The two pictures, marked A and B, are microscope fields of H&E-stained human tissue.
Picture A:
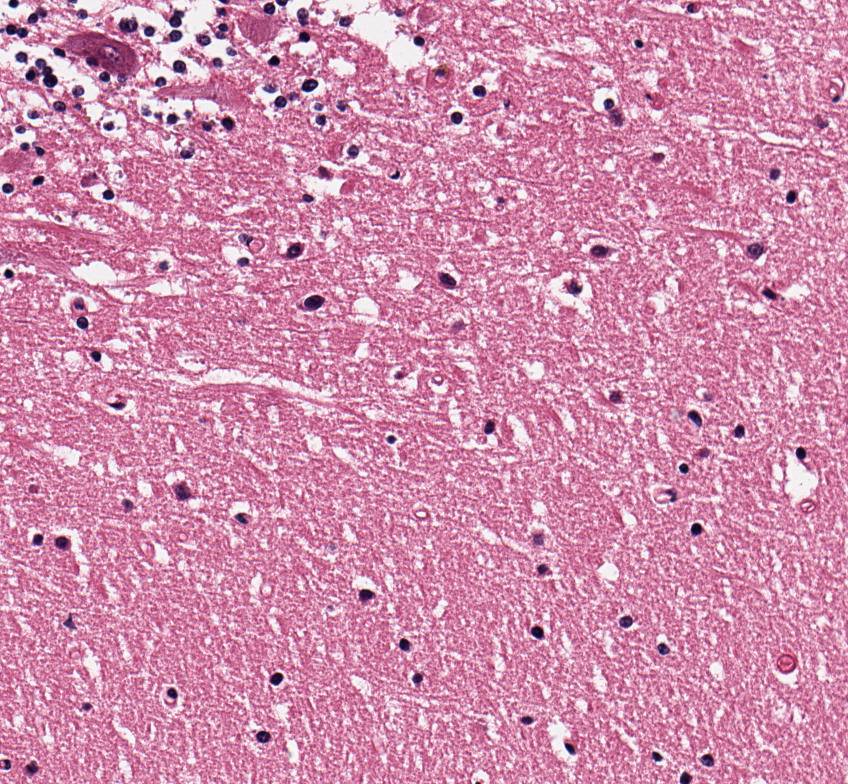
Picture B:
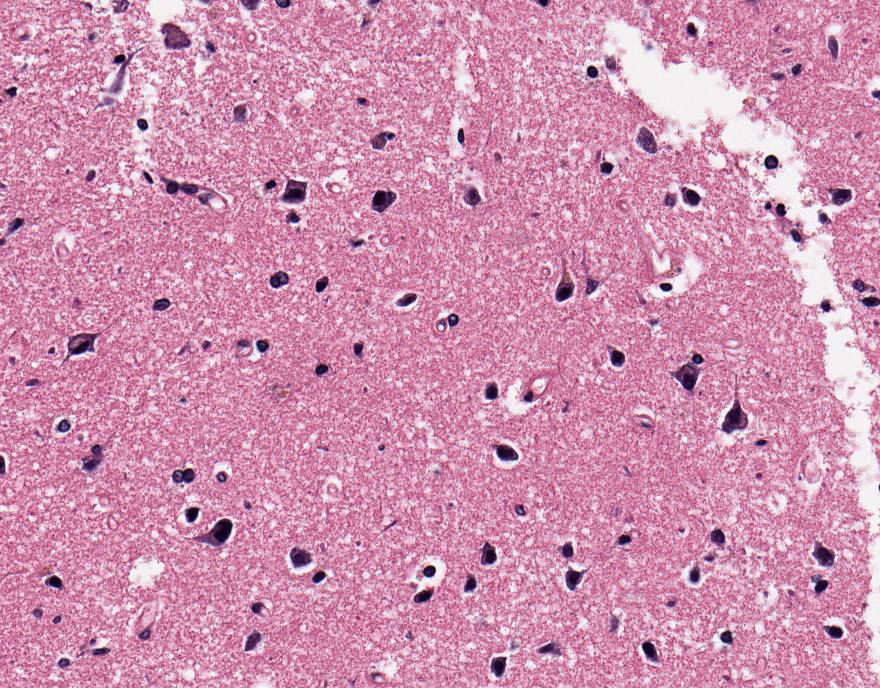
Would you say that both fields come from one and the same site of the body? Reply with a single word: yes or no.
no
